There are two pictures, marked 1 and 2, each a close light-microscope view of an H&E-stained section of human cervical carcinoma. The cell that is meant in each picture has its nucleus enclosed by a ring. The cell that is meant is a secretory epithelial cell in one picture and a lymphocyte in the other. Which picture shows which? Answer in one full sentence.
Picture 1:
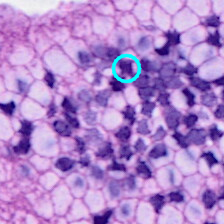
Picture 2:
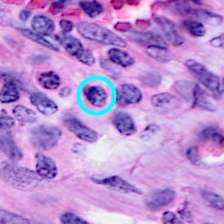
Picture 2 shows a lymphocyte, while picture 1 shows a secretory epithelial cell.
